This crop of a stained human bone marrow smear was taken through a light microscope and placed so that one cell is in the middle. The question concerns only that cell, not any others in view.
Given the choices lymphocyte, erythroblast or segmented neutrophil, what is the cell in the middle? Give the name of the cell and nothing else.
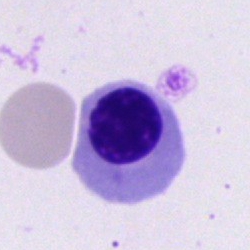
erythroblast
